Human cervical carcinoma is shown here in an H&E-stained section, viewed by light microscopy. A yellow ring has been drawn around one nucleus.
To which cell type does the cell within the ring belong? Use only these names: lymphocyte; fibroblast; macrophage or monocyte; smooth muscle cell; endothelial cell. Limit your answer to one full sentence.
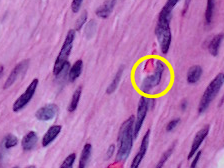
It is an endothelial cell that the cell within the ring represents.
